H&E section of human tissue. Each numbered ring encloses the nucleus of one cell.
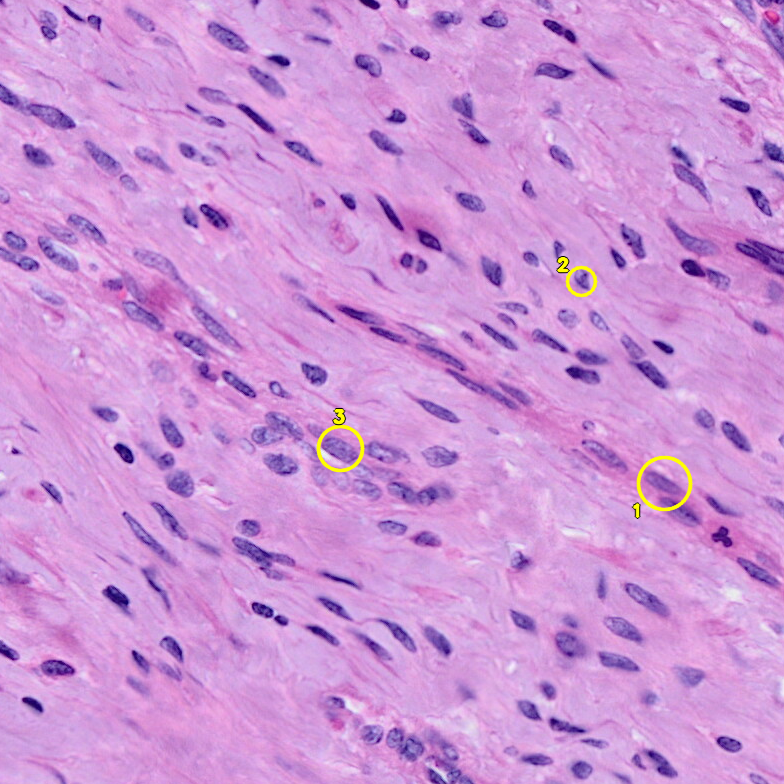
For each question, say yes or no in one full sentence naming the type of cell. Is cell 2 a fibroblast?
Yes, cell 2 among the marked cells is a fibroblast.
